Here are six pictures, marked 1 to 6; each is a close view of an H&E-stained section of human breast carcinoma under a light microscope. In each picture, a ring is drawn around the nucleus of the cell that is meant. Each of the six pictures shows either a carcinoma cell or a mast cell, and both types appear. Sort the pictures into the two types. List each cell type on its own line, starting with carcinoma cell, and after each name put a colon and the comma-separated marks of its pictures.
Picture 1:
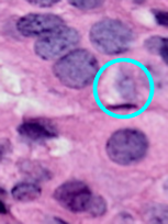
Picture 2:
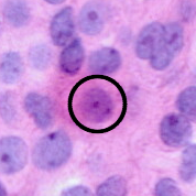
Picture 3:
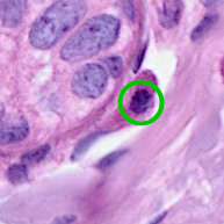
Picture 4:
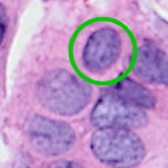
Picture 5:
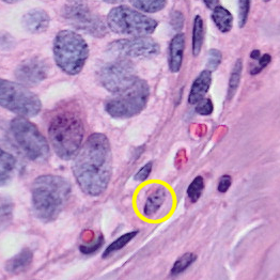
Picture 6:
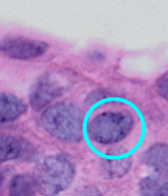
carcinoma cell: 1, 2, 4, 6
mast cell: 3, 5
